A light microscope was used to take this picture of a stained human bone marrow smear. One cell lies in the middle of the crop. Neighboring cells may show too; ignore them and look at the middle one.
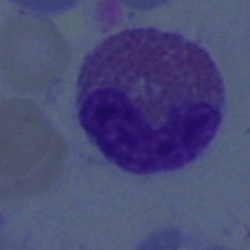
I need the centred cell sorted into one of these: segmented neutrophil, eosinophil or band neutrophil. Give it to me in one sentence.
The cell featured at the centre of this crop is an eosinophil.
